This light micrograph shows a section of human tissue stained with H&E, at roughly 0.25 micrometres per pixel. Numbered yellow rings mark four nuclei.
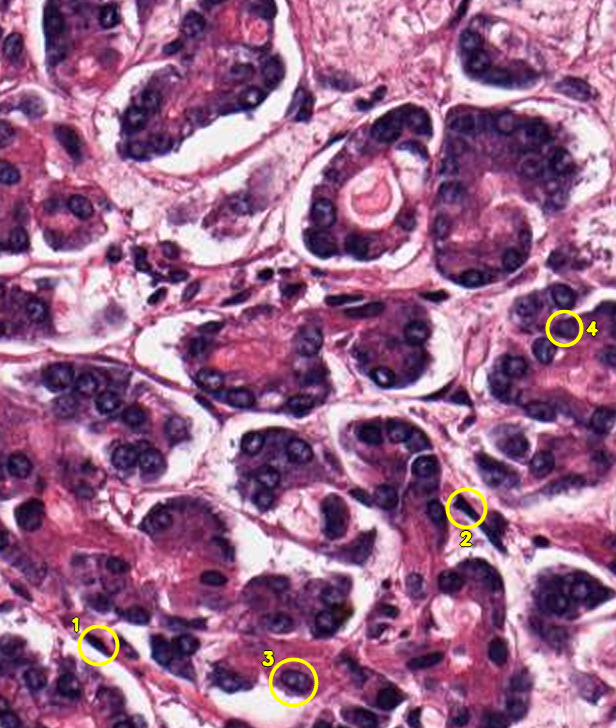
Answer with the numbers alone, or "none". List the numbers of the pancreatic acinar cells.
3, 4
